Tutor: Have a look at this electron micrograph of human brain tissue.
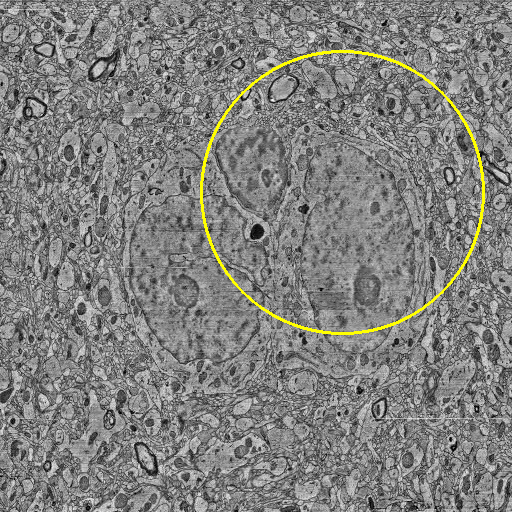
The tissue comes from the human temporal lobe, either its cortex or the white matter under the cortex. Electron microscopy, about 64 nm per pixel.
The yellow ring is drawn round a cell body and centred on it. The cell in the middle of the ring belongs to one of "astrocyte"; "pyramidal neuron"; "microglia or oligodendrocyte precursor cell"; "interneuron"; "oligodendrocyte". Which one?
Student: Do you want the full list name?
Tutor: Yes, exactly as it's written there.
interneuron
